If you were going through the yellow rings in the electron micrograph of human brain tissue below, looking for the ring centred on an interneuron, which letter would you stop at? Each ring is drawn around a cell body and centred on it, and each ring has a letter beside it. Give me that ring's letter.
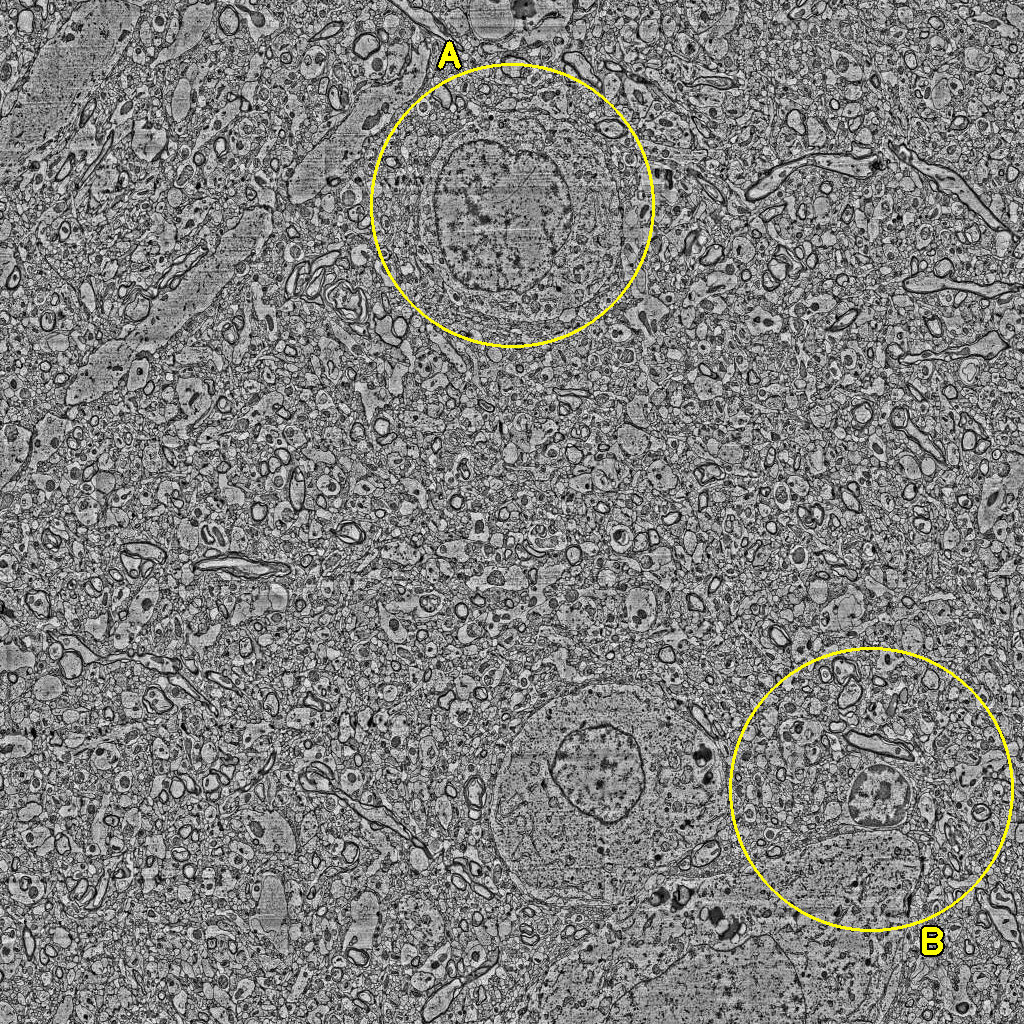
A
